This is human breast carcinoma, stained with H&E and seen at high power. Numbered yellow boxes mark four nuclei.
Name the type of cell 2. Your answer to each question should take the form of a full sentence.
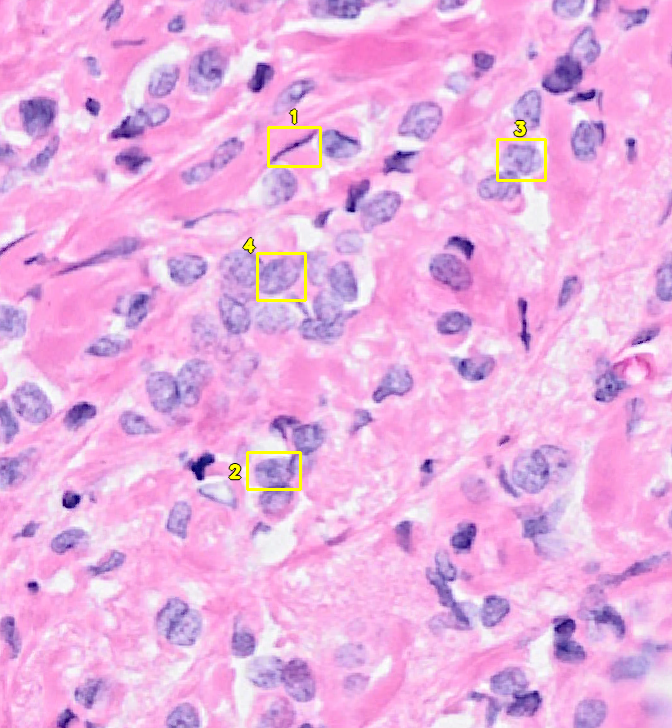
The cell numbered 2 has been identified as a carcinoma cell.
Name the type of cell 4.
Regarding cell 4, this one is a carcinoma cell.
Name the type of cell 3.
The cell numbered 3 represents a carcinoma cell.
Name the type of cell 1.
Cell 1 is classified as a fibroblast.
